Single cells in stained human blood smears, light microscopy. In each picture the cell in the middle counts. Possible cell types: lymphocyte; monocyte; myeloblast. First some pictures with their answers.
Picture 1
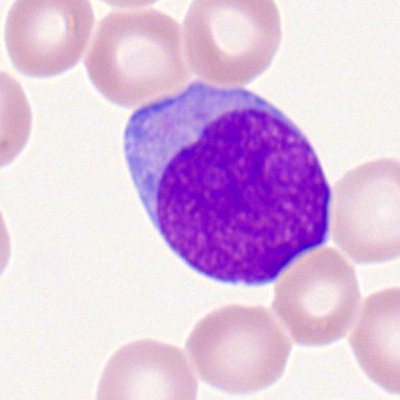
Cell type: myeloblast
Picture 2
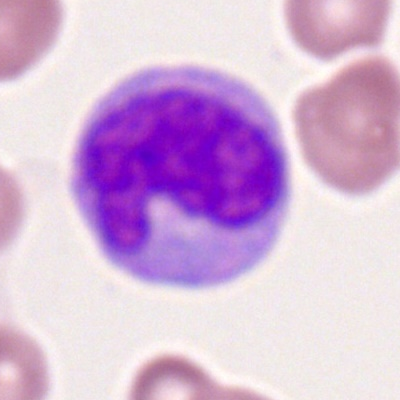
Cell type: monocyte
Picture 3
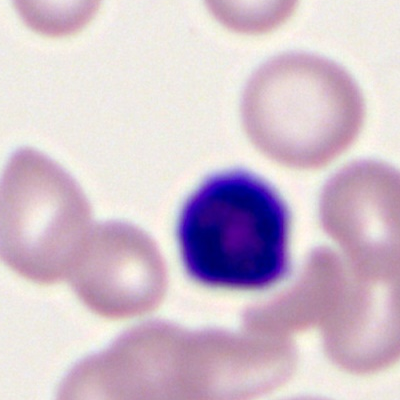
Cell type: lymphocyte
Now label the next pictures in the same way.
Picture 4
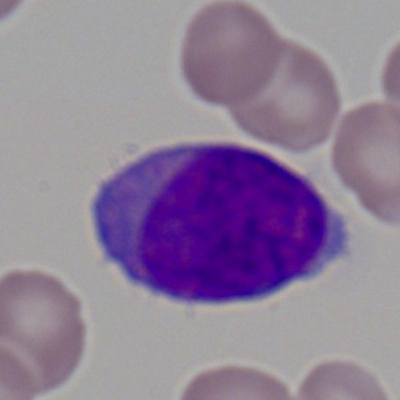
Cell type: myeloblast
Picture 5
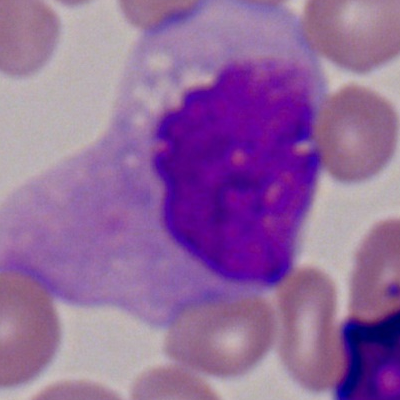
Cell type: monocyte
